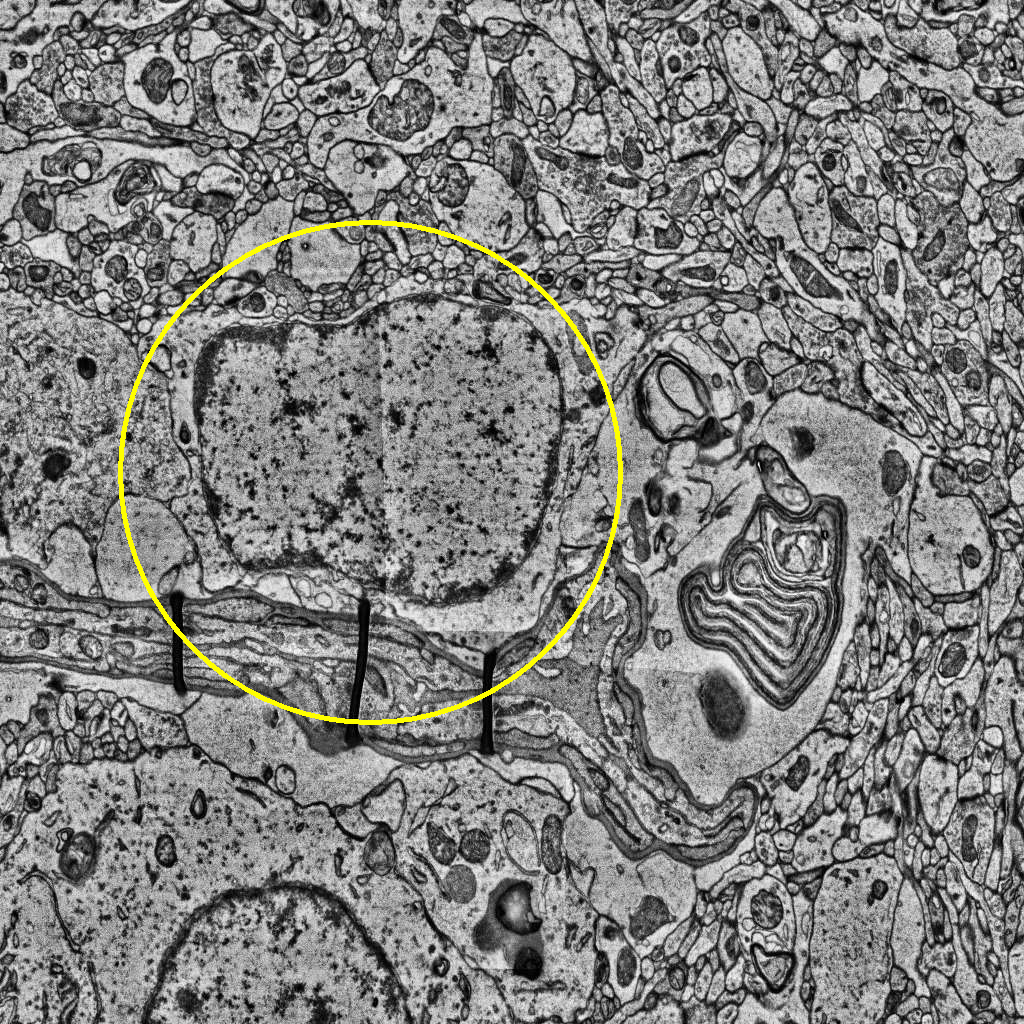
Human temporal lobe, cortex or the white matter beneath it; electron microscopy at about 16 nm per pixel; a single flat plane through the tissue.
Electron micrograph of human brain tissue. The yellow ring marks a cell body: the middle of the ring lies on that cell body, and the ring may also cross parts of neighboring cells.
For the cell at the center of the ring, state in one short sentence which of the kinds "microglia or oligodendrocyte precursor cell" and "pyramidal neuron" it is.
This ring's center lies on a microglial cell or oligodendrocyte precursor cell.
